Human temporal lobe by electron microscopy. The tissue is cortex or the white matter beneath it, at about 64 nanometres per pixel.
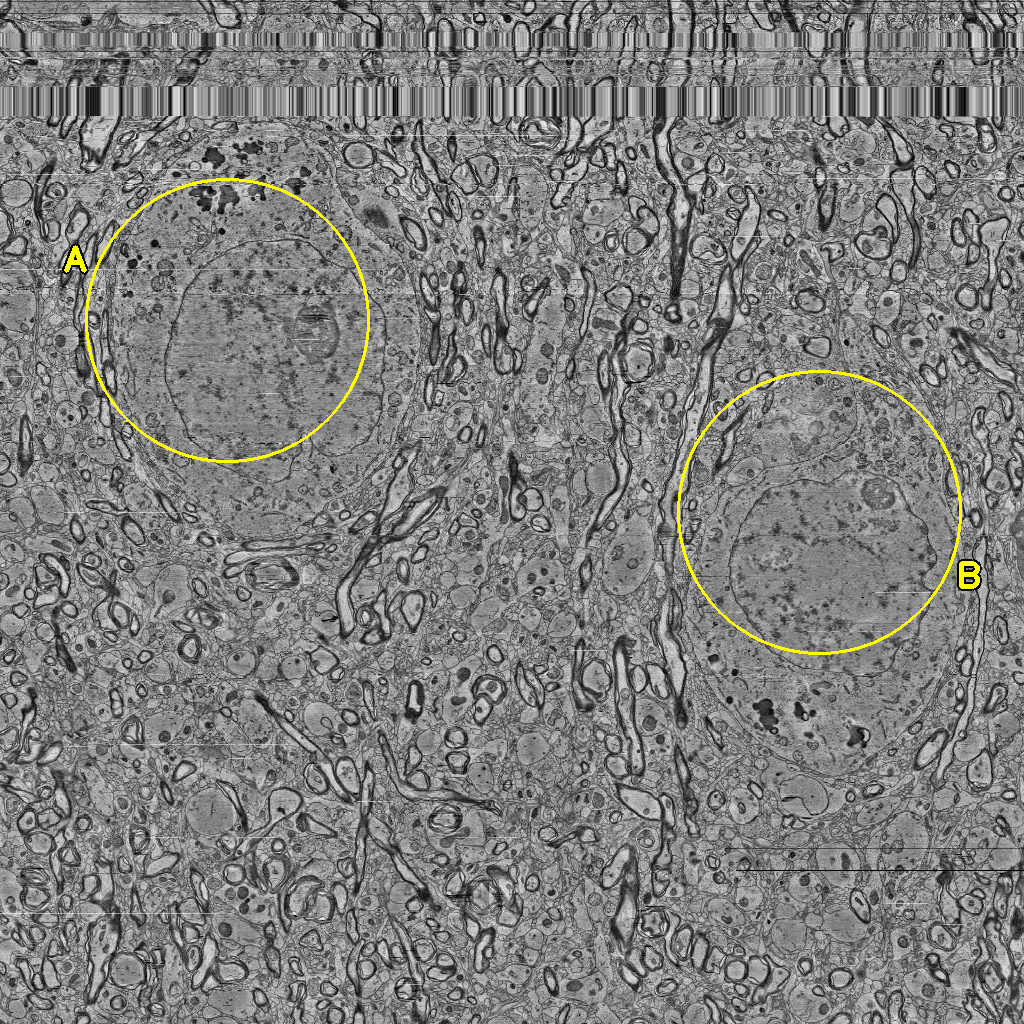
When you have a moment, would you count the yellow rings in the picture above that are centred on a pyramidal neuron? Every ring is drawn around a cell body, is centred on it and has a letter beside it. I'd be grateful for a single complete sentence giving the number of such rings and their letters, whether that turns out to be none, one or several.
There are two rings centred on a pyramidal neuron each, and they are the ones with the letters A and B.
